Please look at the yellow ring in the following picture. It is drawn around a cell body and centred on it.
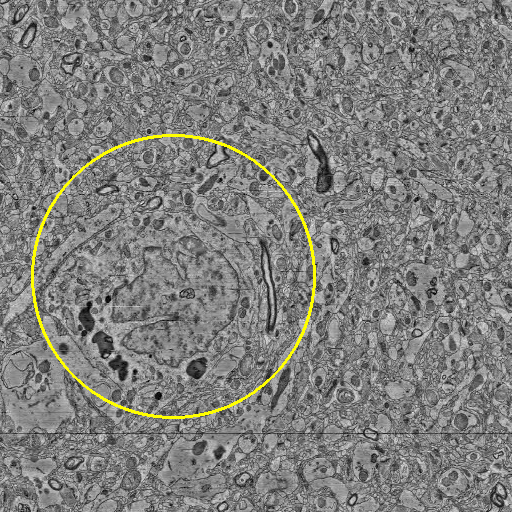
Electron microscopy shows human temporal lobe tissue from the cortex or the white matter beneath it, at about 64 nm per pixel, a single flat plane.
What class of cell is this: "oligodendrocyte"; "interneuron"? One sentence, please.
The ring surrounds the cell body of an interneuron.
